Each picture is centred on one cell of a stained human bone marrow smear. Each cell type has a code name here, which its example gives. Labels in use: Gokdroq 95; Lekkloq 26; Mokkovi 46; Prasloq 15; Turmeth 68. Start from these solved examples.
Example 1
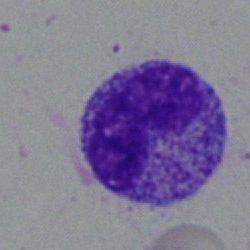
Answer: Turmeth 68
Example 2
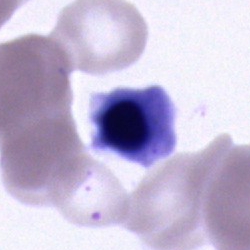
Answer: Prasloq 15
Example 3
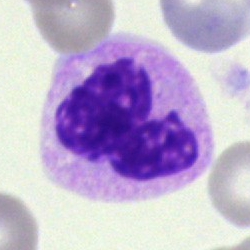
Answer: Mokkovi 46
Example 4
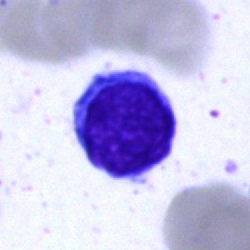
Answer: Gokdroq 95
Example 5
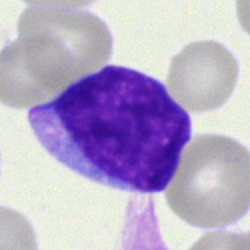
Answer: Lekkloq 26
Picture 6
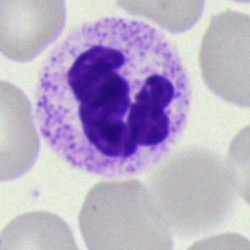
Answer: Mokkovi 46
